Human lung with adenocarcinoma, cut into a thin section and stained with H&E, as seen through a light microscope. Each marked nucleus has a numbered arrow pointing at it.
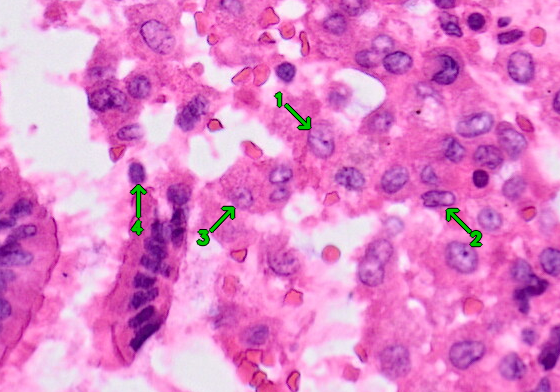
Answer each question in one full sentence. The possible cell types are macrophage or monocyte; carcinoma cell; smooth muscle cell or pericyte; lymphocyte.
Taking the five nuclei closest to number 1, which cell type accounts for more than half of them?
Of the five nuclei nearest to number 1, most belong to macrophages or monocytes.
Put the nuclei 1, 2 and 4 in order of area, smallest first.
From smallest to largest, the order is 4, 2, 1.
